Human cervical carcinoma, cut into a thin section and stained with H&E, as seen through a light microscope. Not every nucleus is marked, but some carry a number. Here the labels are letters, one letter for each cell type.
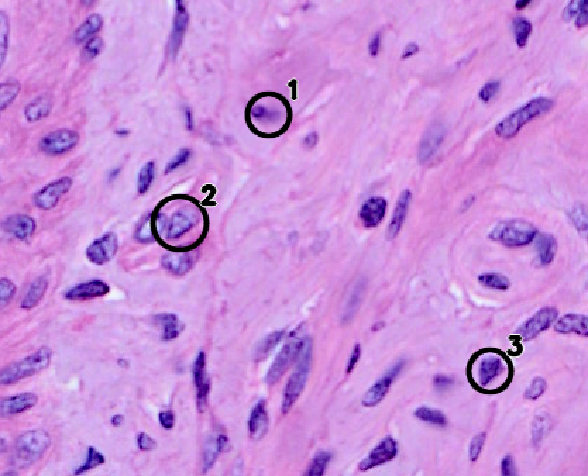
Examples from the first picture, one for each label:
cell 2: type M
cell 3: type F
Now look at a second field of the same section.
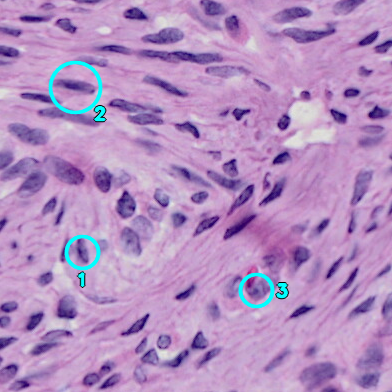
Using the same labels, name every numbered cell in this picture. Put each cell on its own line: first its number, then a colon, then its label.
1: type F
2: type F
3: type M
